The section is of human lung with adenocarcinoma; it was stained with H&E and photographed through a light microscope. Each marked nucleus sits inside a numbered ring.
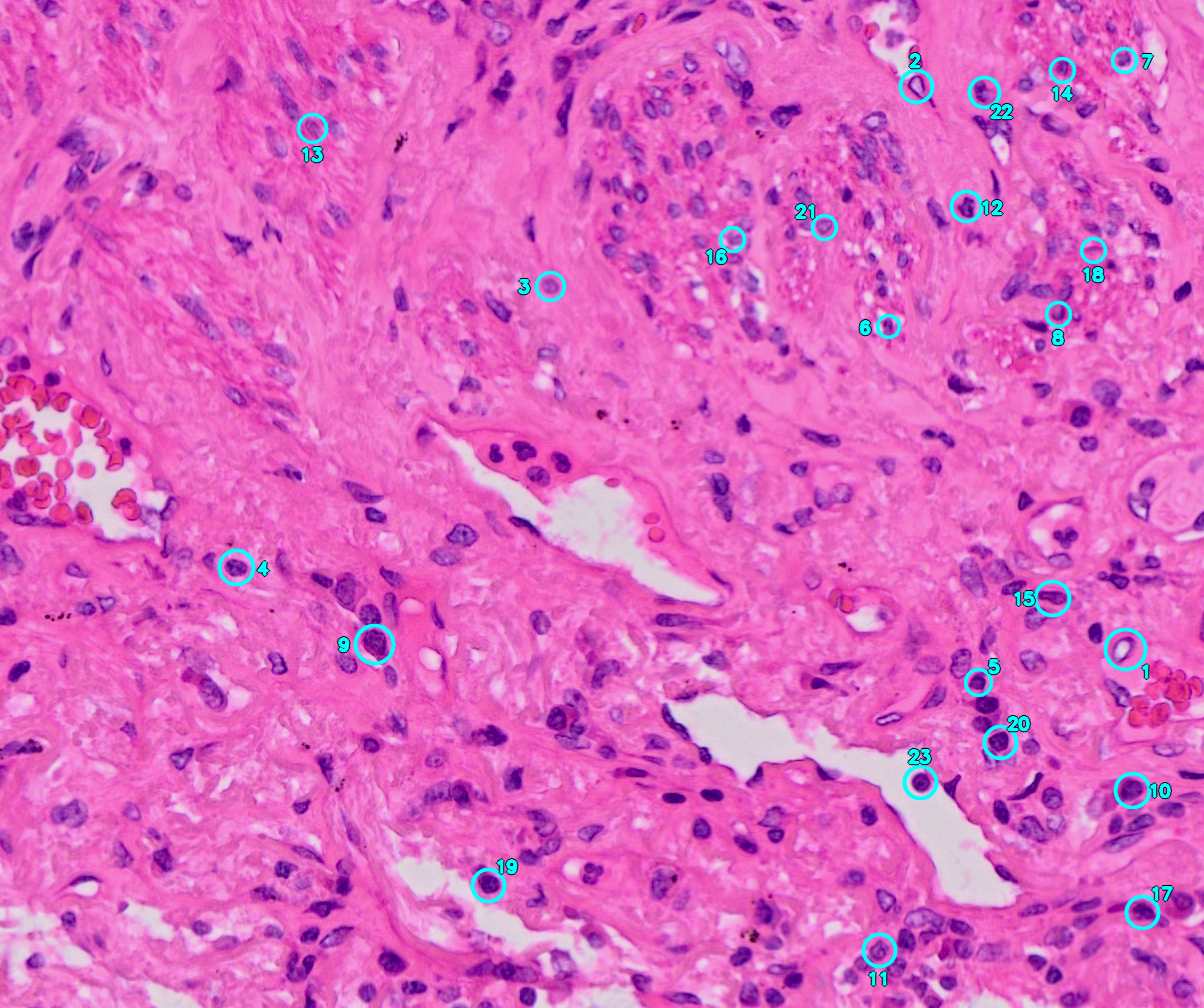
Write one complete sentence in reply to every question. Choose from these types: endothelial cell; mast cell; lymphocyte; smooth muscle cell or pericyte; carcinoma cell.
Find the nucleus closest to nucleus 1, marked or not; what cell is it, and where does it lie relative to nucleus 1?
Lying above and to the left of nucleus 1, the nearest nucleus is that of a lymphocyte.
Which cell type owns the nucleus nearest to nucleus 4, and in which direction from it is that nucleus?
The nearest nucleus is that of a mast cell and lies to the left of nucleus 4.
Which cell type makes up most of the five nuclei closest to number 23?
Around number 23, most of the five nearest nuclei are those of endothelial cells.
